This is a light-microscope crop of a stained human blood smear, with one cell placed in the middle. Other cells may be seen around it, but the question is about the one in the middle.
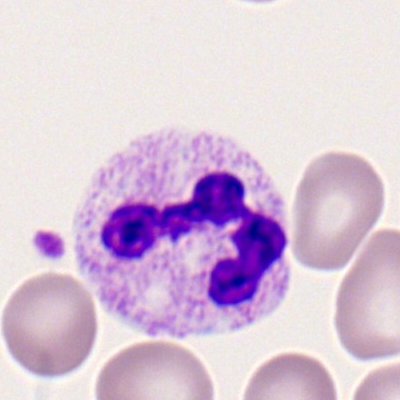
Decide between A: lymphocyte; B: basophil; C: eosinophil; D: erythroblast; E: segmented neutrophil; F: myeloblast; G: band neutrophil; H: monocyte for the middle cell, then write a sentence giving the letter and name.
Option E is right, the centrally situated cell being a segmented neutrophil.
